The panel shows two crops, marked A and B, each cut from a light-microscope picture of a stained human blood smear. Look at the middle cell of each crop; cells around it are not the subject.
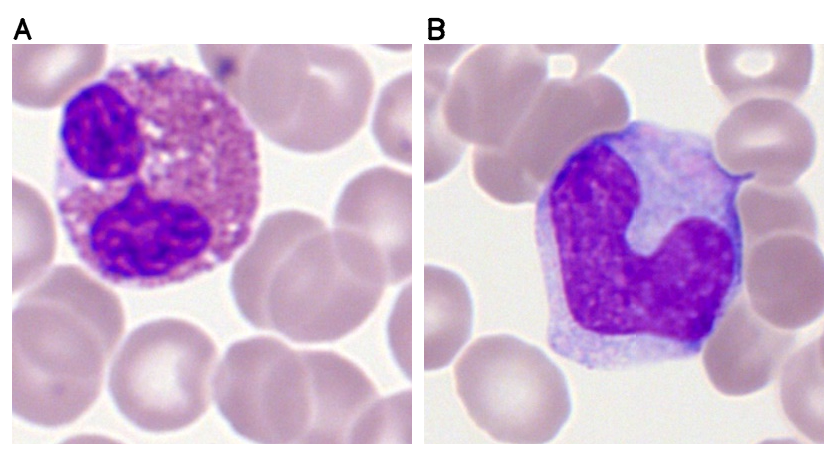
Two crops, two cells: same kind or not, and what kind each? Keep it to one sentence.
No, crop A depicts an eosinophil; crop B depicts a monocyte.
